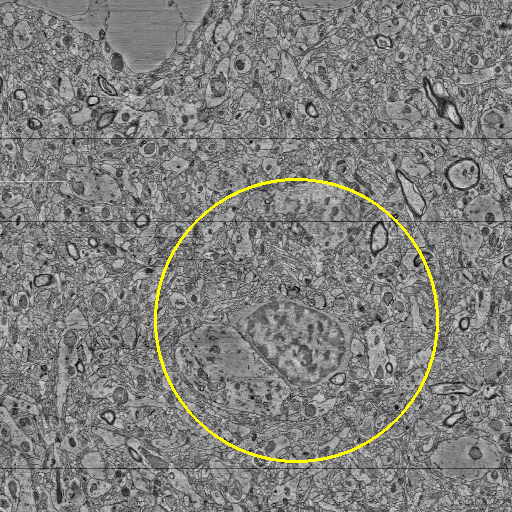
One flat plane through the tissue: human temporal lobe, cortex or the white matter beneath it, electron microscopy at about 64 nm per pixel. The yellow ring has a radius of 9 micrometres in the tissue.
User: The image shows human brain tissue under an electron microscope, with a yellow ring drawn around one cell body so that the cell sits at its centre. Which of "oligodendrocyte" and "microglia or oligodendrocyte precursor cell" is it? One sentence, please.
At the centre of the ring sits an oligodendrocyte.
